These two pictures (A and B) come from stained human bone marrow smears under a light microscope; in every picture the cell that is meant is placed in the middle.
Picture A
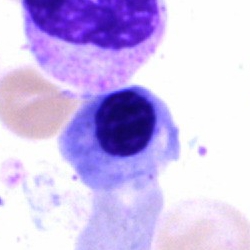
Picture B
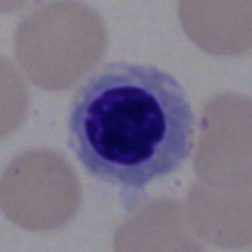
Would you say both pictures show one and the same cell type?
yes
